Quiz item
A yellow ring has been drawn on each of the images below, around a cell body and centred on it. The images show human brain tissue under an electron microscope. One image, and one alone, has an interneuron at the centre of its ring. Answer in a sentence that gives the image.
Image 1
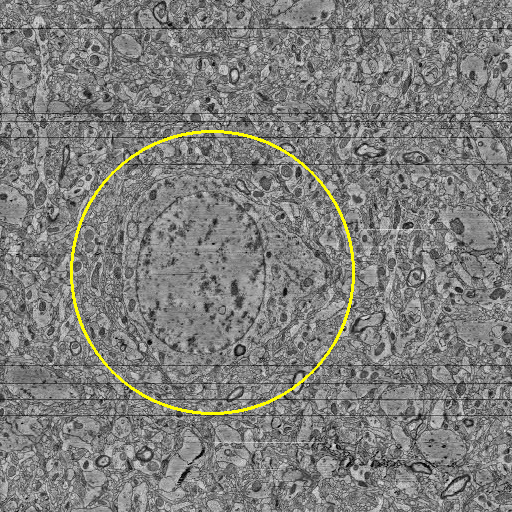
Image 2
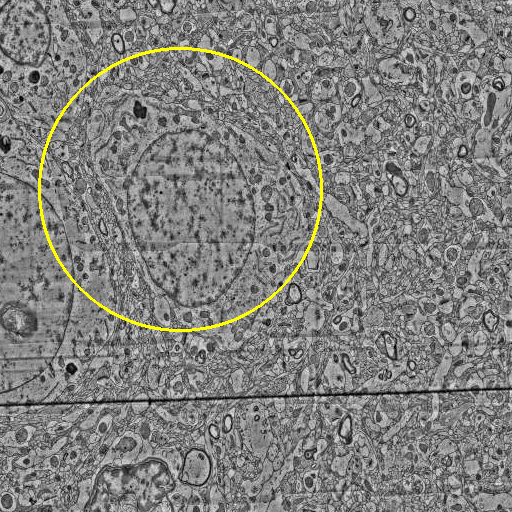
Image 2 shows it at the centre of the ring.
